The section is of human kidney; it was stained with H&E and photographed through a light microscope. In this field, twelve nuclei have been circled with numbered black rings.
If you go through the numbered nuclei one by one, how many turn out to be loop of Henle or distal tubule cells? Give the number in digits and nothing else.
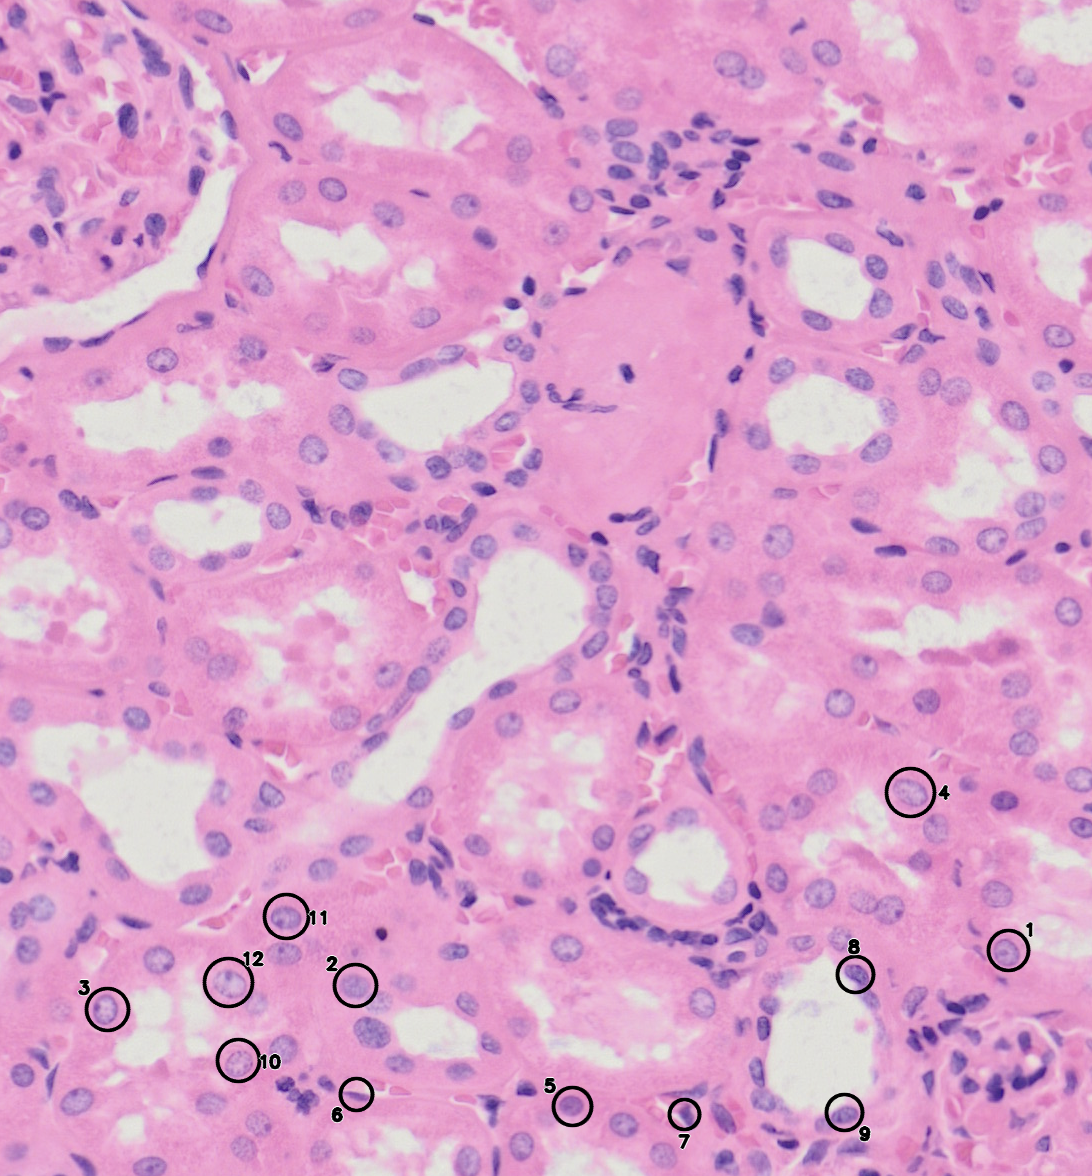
3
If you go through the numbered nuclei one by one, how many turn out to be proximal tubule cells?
7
